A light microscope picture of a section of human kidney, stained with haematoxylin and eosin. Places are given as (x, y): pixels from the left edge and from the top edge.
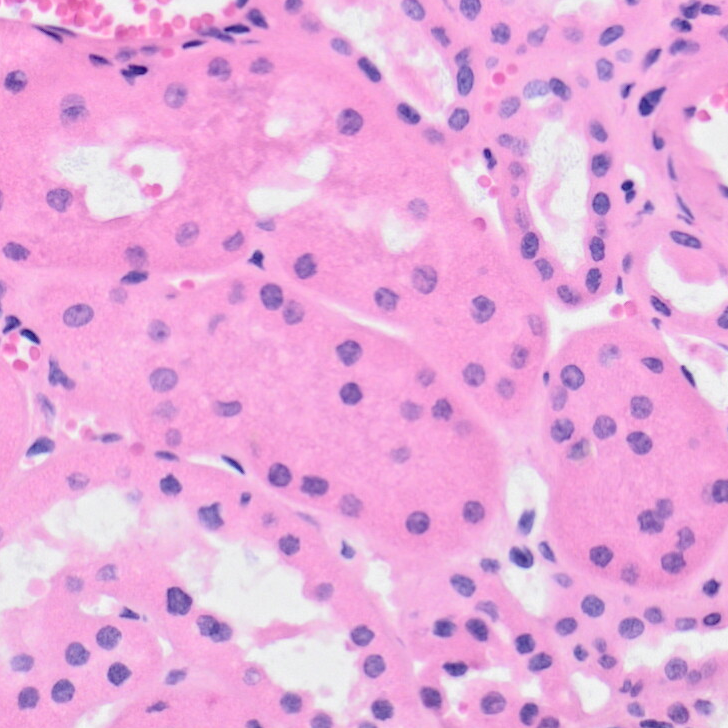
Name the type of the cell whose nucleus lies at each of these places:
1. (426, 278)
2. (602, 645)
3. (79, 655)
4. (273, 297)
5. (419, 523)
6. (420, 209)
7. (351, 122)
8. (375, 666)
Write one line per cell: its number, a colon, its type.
1: proximal tubule cell
2: collecting duct cell
3: loop of Henle or distal tubule cell
4: proximal tubule cell
5: proximal tubule cell
6: proximal tubule cell
7: proximal tubule cell
8: loop of Henle or distal tubule cell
